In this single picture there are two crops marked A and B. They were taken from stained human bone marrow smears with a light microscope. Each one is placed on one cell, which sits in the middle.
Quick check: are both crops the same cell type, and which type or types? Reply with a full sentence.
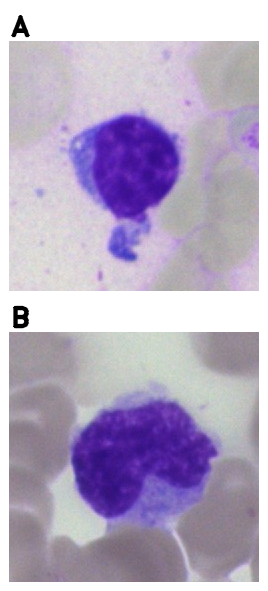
No, crop B holds a monocyte, while crop A holds a lymphocyte.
